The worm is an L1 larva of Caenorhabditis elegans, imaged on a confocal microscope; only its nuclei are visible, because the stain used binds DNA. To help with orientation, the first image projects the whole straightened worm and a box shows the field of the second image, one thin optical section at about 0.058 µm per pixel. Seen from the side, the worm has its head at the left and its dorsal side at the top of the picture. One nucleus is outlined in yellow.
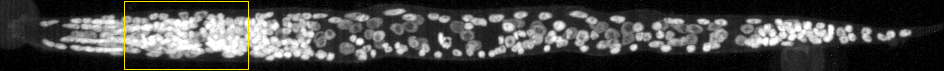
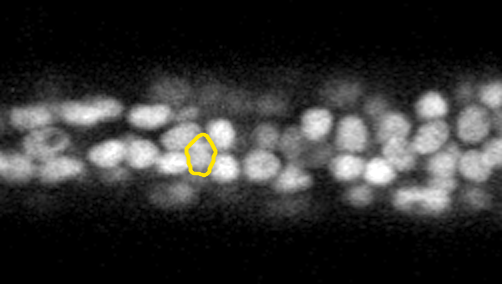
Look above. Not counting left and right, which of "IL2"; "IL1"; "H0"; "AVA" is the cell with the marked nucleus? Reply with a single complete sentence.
The cell whose nucleus is marked is IL1, a neuron.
